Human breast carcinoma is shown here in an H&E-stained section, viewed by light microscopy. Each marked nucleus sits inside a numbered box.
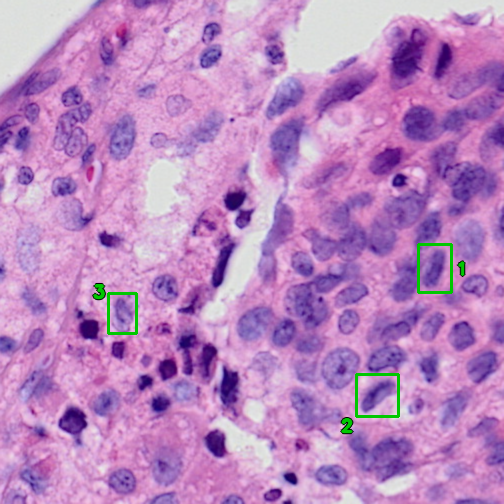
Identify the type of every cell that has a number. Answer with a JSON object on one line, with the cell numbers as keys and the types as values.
{"1": "carcinoma cell", "2": "carcinoma cell", "3": "macrophage, monocyte or dendritic cell"}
